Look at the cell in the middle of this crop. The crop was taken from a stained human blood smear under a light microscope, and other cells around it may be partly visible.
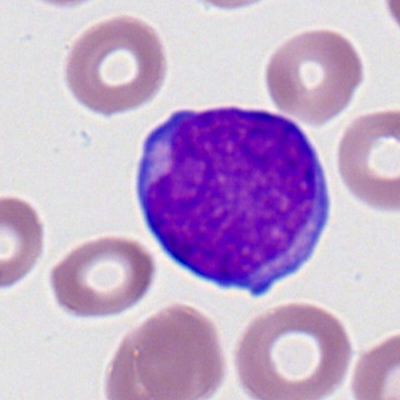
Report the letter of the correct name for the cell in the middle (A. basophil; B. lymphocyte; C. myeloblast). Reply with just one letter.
C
